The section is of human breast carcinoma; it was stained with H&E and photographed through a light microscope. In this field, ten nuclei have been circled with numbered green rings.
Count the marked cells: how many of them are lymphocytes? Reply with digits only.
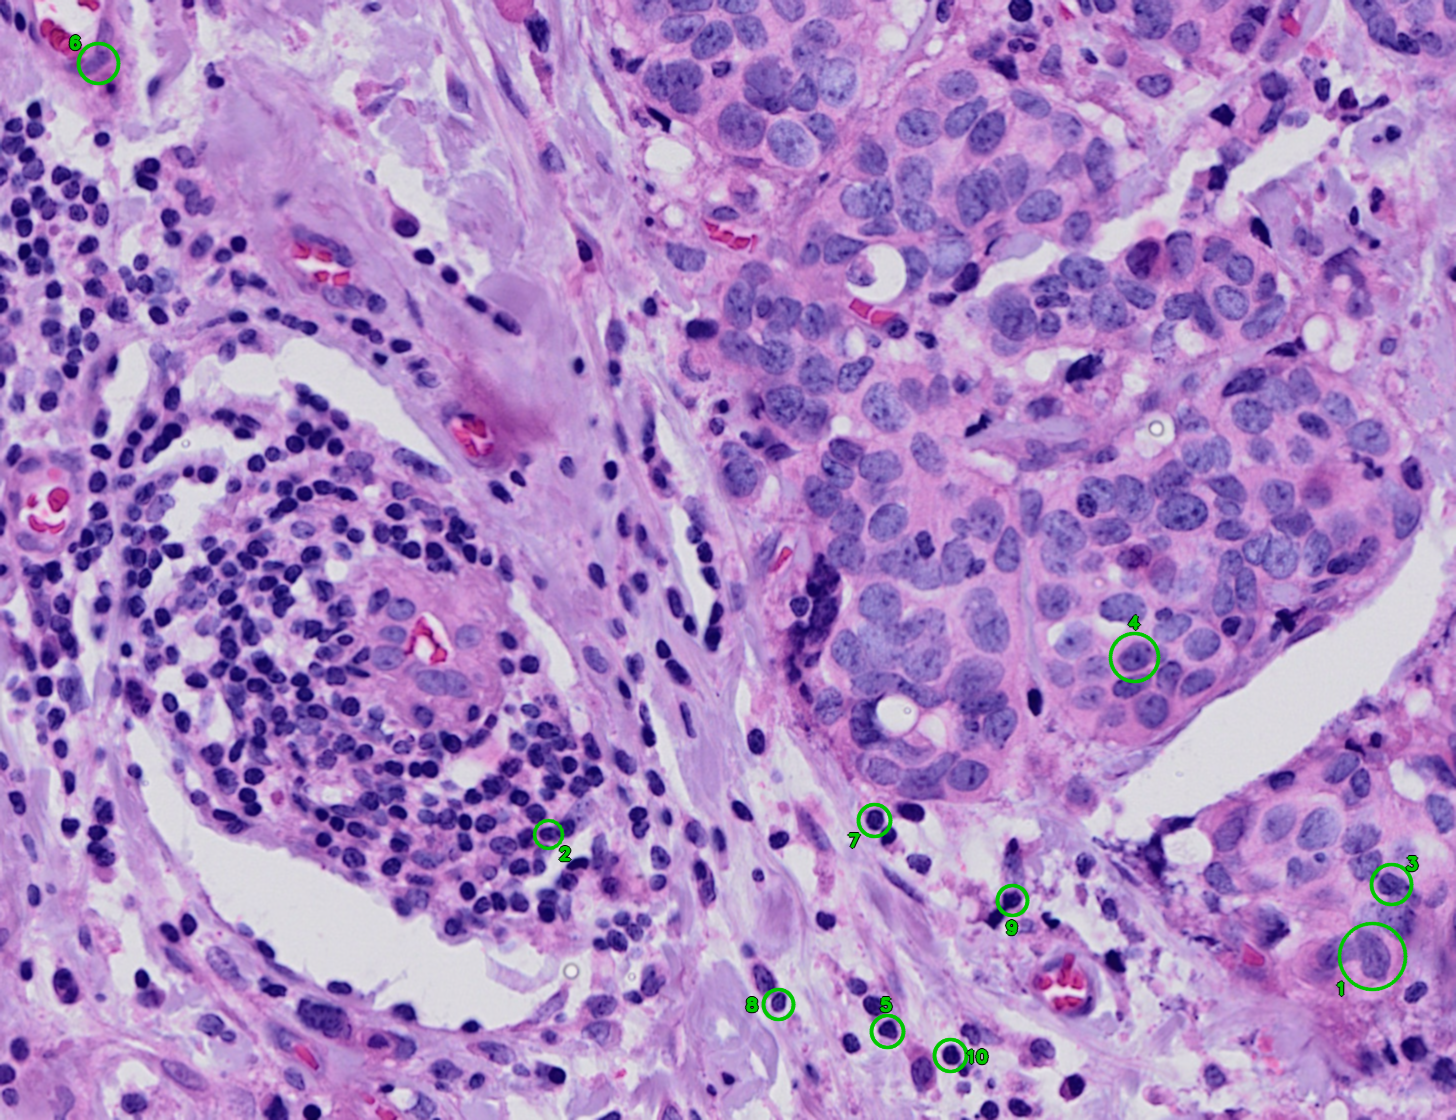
6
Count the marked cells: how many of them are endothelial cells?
1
